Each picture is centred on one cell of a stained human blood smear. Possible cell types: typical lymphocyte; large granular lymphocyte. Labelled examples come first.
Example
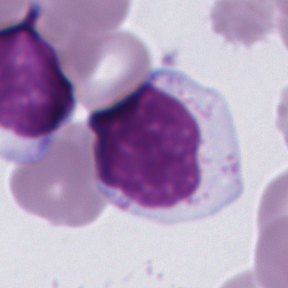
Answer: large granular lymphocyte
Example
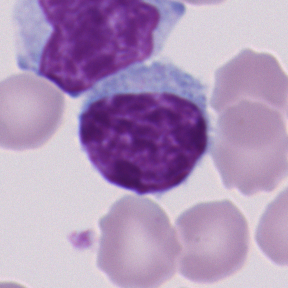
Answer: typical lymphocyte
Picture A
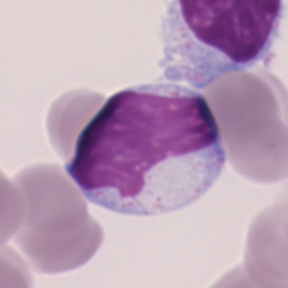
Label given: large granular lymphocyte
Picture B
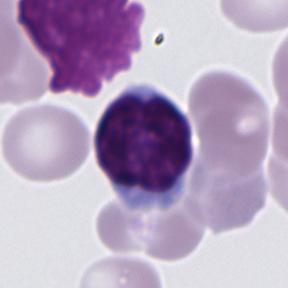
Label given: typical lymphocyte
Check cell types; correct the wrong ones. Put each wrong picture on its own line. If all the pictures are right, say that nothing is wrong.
Every label is right.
